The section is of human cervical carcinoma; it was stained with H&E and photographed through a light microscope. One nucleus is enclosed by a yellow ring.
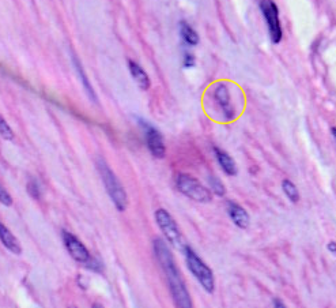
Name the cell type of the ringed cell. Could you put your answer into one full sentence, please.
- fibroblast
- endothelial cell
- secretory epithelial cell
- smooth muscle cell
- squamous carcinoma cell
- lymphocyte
At the level of cell identity, the ringed cell is a smooth muscle cell.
